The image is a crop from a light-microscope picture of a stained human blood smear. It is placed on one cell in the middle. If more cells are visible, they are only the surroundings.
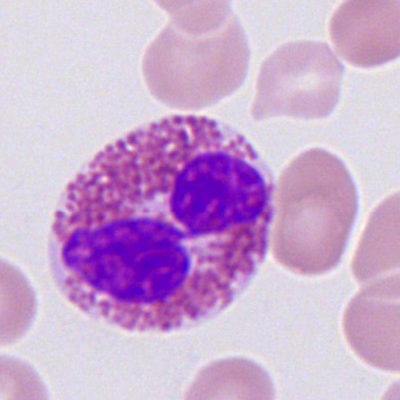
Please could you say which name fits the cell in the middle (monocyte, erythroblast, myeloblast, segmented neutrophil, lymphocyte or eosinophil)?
eosinophil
